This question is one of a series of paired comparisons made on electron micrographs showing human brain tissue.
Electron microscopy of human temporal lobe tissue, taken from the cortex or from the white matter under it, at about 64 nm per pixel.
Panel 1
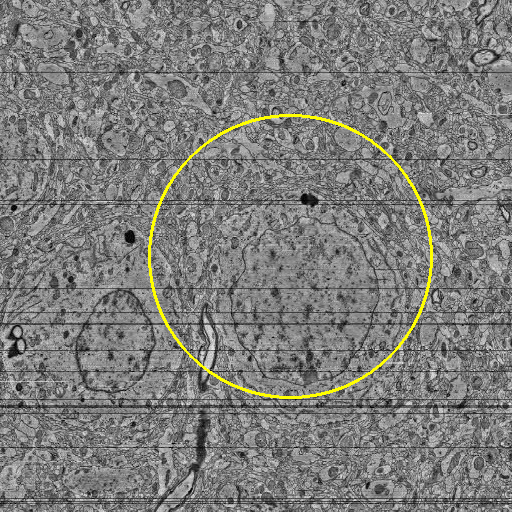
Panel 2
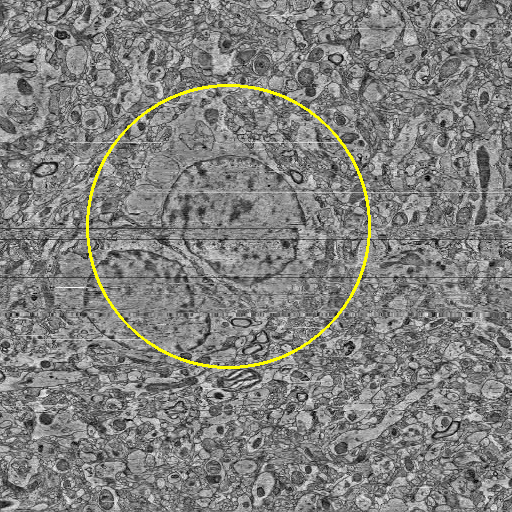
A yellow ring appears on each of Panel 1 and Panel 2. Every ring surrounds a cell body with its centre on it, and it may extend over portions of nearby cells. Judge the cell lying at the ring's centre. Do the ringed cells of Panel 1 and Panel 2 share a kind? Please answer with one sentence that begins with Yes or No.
No, the ring-centre cell in Panel 1 and the one in Panel 2 are of two kinds.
